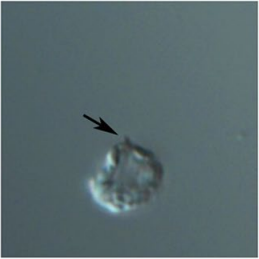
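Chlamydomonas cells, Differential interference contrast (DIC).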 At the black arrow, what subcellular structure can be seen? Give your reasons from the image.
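Small ciliary stubs. The arrow points to a short projection at the edge of the round cell. No long thin process extends from the cell.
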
